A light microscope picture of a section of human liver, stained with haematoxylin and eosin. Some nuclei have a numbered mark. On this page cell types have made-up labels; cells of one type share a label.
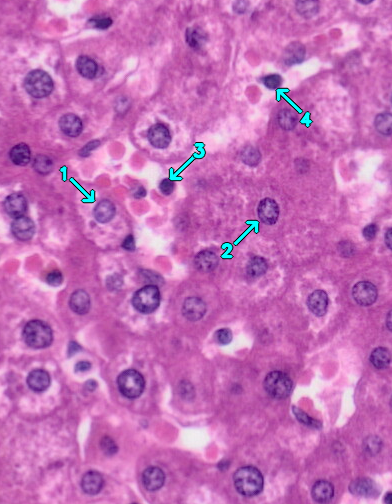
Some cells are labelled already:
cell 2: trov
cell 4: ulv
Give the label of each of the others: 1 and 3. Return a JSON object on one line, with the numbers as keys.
{"1": "trov", "3": "ulv"}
